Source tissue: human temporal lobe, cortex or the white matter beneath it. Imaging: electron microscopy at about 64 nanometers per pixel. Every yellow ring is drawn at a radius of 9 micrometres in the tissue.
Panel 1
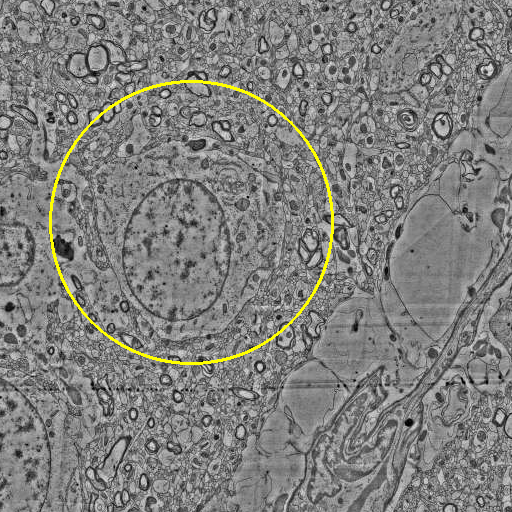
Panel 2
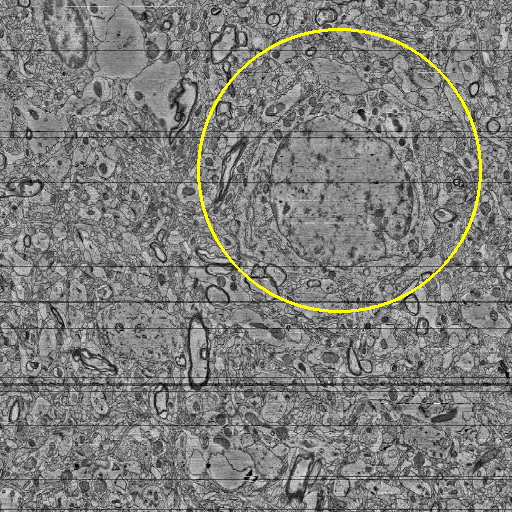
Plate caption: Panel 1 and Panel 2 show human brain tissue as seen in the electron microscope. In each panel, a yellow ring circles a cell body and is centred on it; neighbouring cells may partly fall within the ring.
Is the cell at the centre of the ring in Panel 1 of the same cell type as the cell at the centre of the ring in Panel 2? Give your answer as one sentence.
No, the two cells are of two types.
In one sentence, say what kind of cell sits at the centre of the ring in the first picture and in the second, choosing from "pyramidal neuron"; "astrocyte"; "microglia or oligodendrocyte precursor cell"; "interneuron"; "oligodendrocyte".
The first picture's ringed cell is a pyramidal neuron, while the second picture's is an interneuron.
